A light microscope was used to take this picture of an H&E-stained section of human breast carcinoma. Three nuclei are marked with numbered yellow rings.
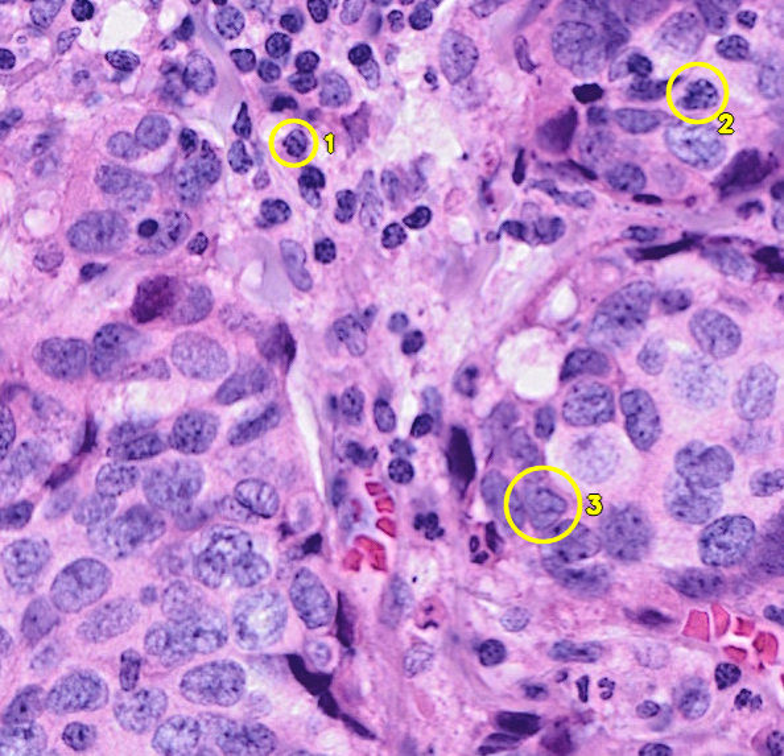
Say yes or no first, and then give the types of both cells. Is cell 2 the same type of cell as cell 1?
Yes, the pair of cells 2 and 1 are both lymphocytes.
